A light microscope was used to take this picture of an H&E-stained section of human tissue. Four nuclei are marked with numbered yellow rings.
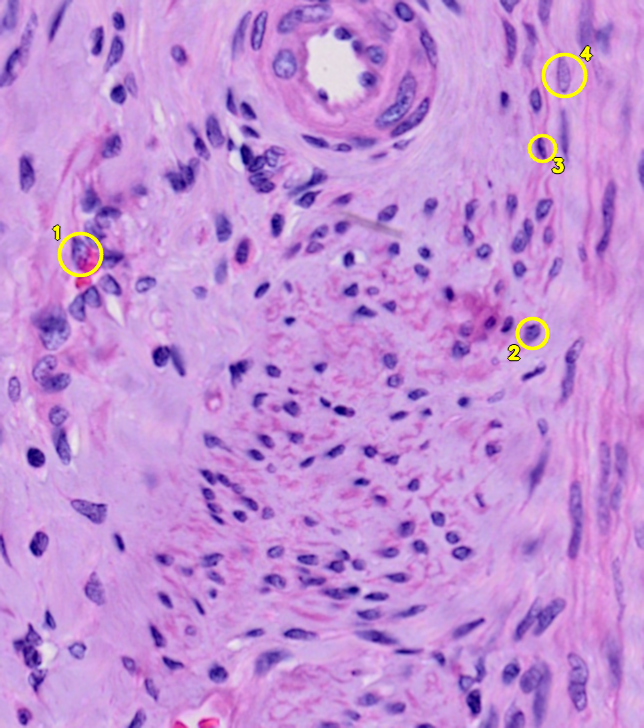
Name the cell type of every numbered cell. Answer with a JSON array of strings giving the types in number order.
["endothelial cell", "smooth muscle cell", "smooth muscle cell", "smooth muscle cell"]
